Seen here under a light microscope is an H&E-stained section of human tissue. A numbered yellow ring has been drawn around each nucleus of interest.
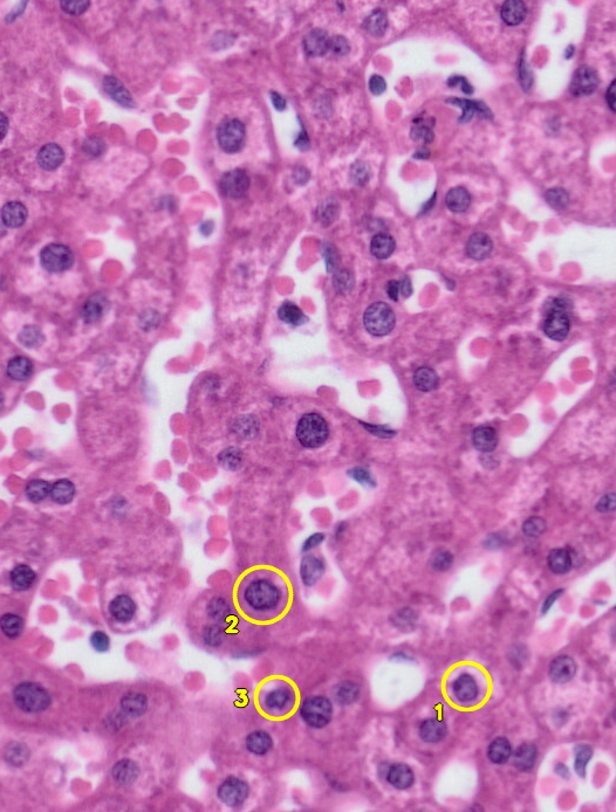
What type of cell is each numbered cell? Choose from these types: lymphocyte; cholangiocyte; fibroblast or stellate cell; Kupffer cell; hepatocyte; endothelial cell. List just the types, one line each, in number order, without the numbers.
hepatocyte
hepatocyte
fibroblast or stellate cell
